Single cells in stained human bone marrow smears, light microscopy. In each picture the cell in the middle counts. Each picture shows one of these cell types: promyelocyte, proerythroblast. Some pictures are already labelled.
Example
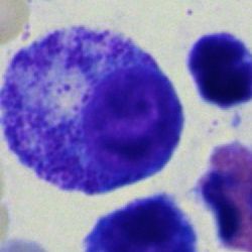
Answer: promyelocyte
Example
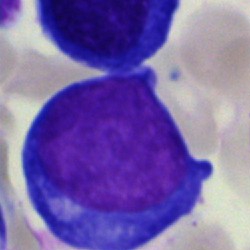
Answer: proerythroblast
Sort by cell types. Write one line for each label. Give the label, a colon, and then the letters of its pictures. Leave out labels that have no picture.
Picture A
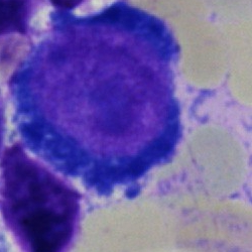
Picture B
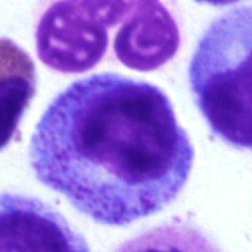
promyelocyte: B
proerythroblast: A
